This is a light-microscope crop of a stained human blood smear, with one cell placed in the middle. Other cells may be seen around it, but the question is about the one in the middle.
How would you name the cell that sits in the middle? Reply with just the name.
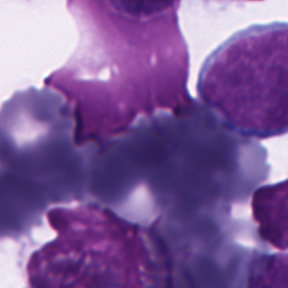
myeloblast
